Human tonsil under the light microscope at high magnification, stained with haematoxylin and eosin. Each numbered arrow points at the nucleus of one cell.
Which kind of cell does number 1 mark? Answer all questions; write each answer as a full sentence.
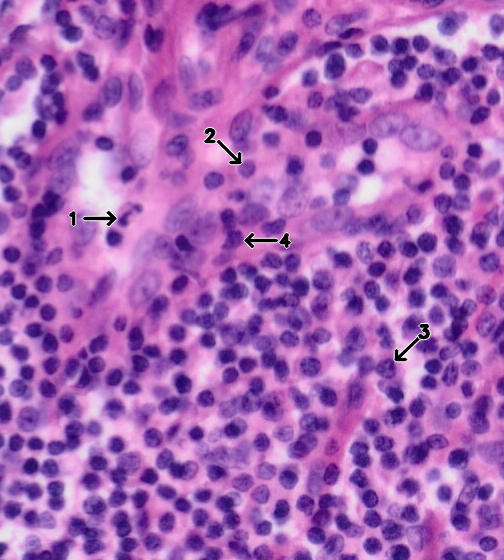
The cell identified by number 1 is an endothelial cell.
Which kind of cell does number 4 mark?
Cell 4 in the field of view is an endothelial cell.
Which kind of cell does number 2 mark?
Belonging to an endothelial cell is the nucleus that carries the number 2.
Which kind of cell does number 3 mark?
Cell 3 in the field of view is a plasma cell.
